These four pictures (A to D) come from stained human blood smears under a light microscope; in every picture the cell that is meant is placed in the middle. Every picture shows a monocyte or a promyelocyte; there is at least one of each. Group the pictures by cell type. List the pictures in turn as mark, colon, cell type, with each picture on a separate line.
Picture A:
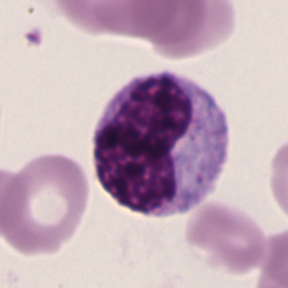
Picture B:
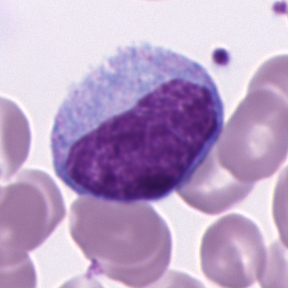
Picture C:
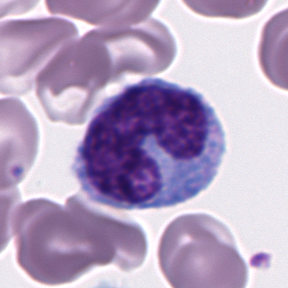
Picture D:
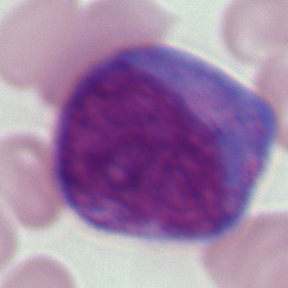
A: monocyte
B: monocyte
C: monocyte
D: promyelocyte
